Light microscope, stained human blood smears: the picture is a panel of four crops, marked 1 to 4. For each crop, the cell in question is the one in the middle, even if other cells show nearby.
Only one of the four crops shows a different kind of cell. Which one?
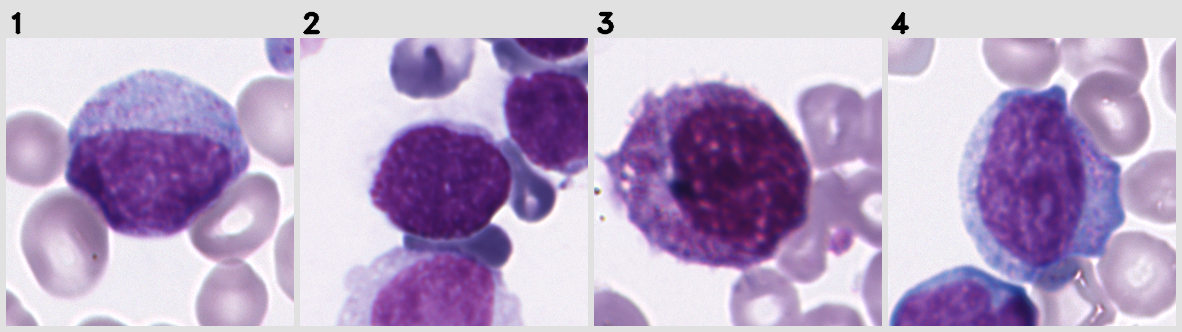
2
